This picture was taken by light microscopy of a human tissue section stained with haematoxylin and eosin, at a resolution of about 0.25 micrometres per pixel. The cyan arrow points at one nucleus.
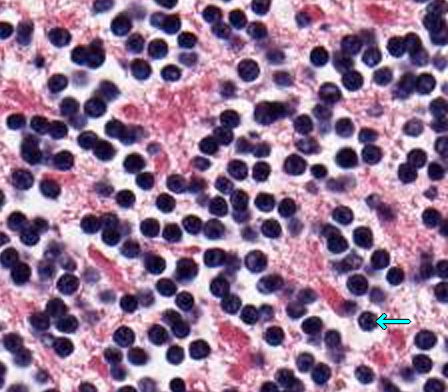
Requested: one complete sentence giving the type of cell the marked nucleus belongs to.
It is a cerebellar granule cell that the marked nucleus belongs to.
